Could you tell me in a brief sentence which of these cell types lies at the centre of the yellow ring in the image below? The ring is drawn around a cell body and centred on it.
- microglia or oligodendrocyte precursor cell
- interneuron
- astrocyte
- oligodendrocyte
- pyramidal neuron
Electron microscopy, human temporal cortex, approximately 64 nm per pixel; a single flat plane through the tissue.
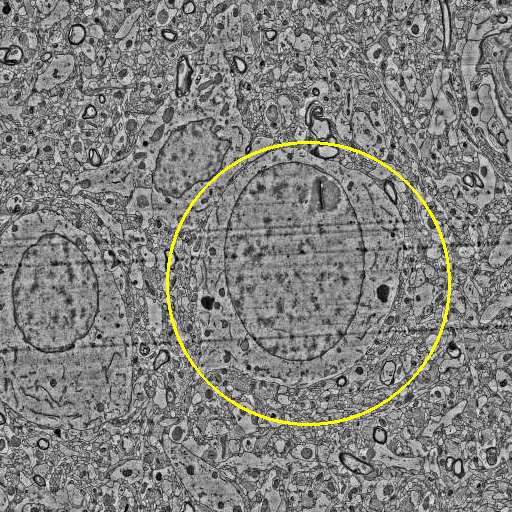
The cell centred in the ring is a pyramidal neuron.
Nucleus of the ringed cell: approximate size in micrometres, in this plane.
Roughly 13 by 9 micrometres in this plane, for the nucleus of the ringed cell.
